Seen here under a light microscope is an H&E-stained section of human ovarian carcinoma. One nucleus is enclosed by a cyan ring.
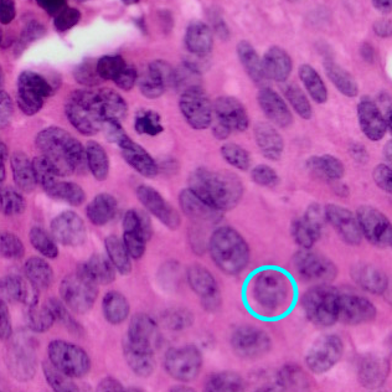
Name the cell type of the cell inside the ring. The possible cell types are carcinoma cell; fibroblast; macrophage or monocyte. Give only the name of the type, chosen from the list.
carcinoma cell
